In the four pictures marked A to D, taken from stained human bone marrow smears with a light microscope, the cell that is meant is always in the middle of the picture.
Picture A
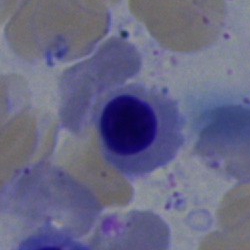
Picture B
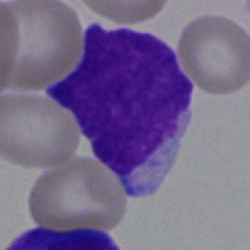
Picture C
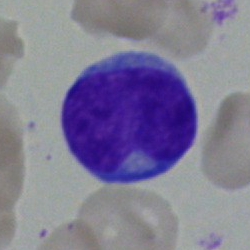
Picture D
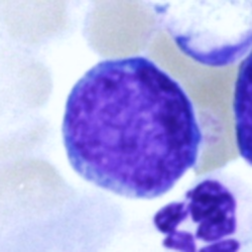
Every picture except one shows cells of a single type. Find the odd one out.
A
